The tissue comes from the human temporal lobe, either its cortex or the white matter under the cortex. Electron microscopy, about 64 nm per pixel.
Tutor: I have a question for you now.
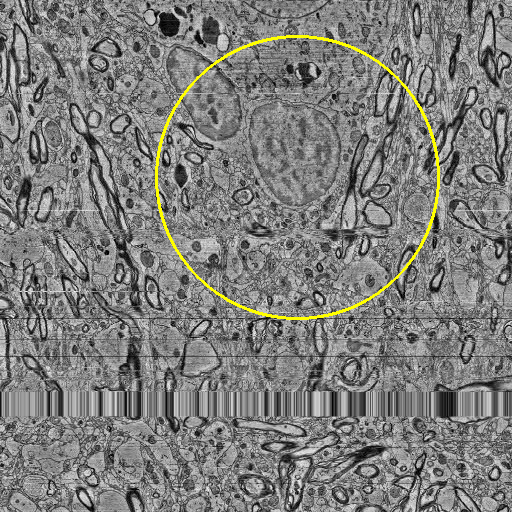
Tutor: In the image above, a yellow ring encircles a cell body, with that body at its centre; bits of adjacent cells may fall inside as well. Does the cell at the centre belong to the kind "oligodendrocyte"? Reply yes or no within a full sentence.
Yes, the cell at the centre of the yellow ring in the picture is of that kind.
